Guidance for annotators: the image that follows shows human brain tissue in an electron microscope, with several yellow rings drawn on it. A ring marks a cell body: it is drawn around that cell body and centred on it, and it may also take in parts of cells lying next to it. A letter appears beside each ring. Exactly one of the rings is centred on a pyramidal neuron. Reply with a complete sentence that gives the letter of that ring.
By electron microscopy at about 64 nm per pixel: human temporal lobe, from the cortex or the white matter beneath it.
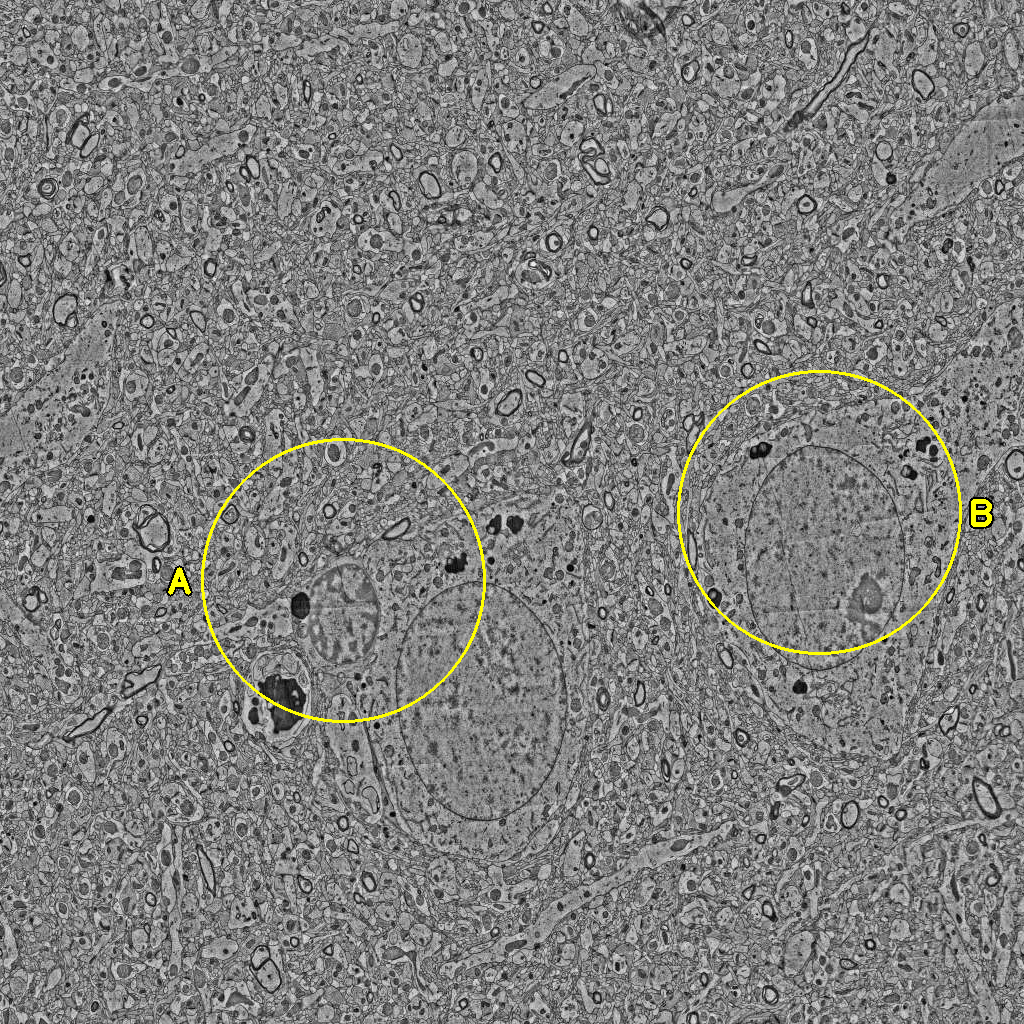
The ring lettered B is centred on that cell.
